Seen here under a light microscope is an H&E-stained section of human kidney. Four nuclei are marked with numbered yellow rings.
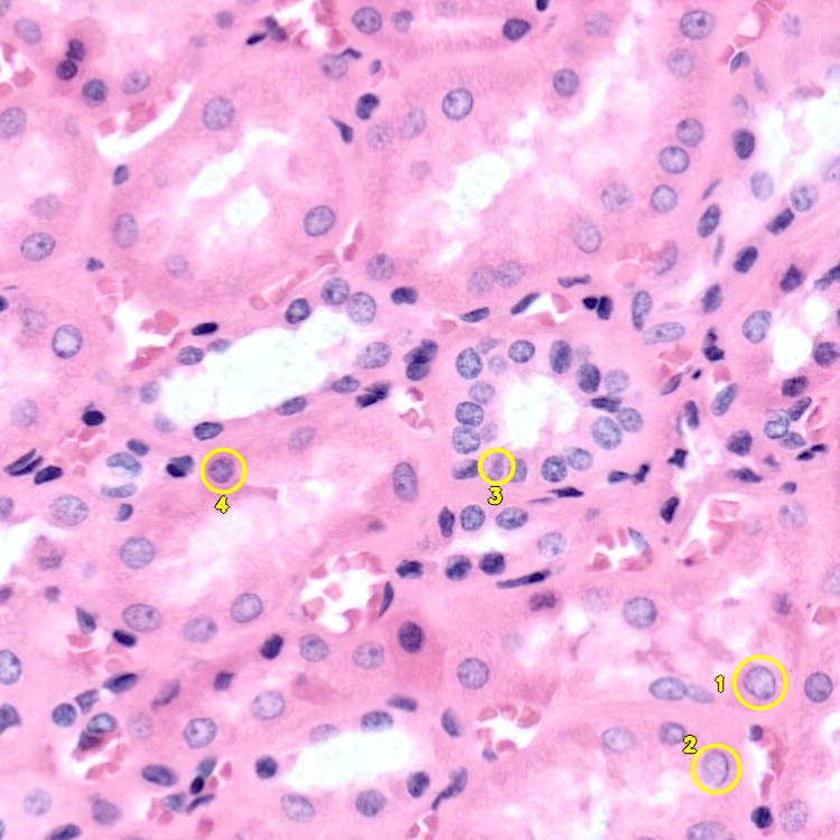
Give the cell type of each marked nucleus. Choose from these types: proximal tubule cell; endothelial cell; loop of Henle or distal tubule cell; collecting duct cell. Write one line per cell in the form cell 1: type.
cell 1: proximal tubule cell
cell 2: proximal tubule cell
cell 3: collecting duct cell
cell 4: proximal tubule cell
